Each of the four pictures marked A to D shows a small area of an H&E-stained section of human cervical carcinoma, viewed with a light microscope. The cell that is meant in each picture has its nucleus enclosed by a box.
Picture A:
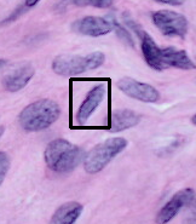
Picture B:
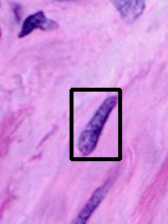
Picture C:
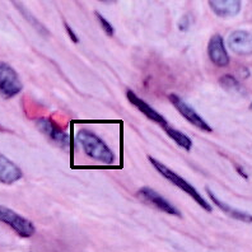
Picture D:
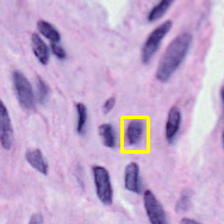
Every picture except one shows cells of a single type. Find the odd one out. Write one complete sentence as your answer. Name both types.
Picture C differs, because its cell is an endothelial cell and the rest are fibroblasts.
